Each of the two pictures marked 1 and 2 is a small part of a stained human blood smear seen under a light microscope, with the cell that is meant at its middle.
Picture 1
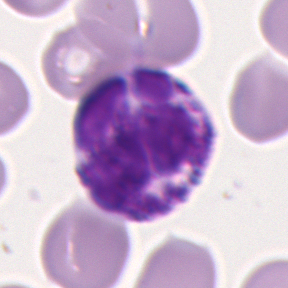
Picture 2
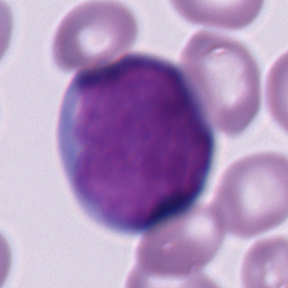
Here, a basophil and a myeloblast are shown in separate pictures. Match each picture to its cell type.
1: basophil
2: myeloblast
